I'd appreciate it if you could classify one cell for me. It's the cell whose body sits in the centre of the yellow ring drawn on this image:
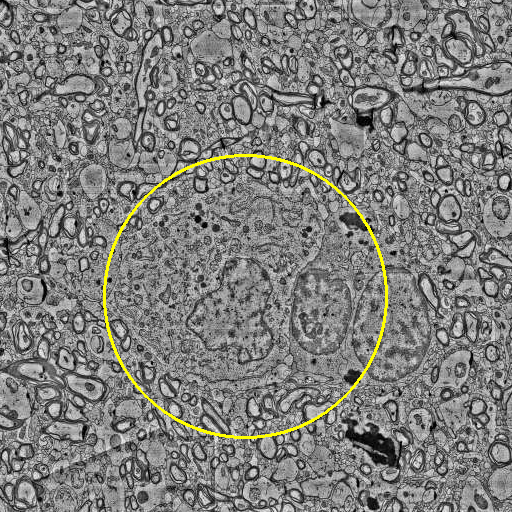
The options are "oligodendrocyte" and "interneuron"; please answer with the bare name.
interneuron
